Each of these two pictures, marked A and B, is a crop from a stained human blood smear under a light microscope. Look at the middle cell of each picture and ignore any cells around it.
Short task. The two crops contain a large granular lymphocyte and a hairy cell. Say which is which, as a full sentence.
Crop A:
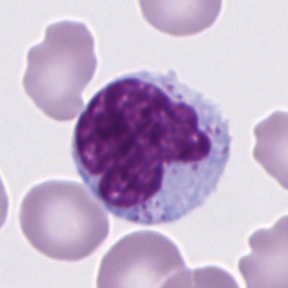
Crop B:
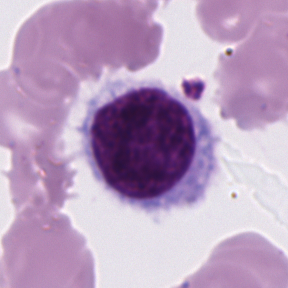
Crop A depicts a large granular lymphocyte, and a hairy cell is depicted in crop B.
